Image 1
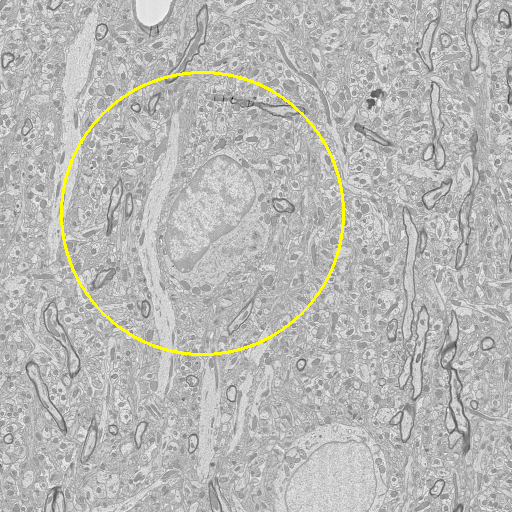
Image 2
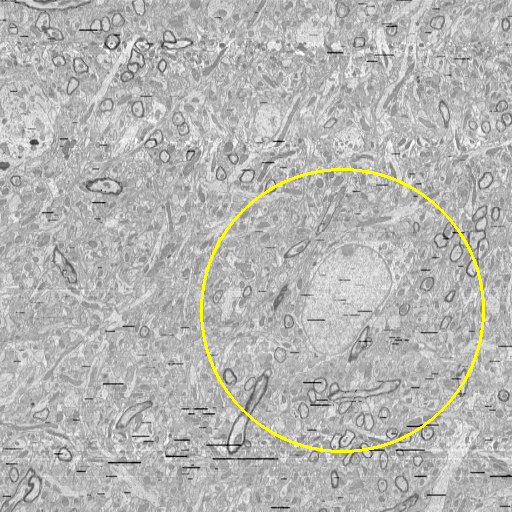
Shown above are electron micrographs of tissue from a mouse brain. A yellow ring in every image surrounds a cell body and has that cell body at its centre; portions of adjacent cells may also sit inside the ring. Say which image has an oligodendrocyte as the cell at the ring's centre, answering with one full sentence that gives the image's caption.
The image whose ring is centred on the requested cell is Image 1.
